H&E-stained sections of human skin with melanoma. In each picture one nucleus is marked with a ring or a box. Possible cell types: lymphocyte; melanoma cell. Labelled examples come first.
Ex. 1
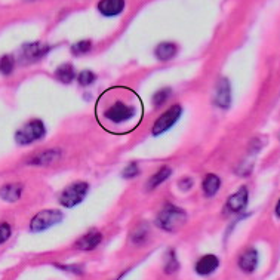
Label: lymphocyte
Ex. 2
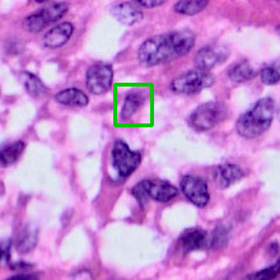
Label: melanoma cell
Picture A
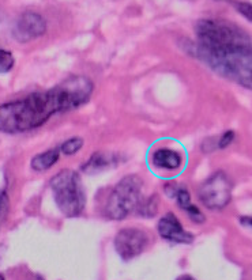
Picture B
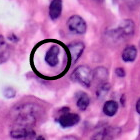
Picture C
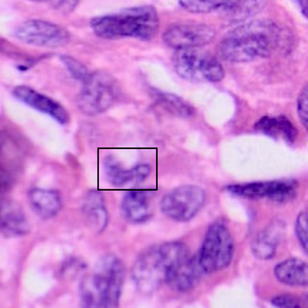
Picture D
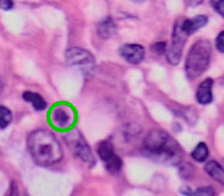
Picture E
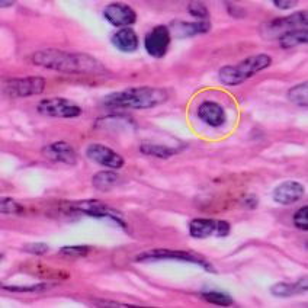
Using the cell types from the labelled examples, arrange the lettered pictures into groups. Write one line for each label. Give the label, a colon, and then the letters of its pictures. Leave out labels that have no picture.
lymphocyte: A, B, D, E
melanoma cell: C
